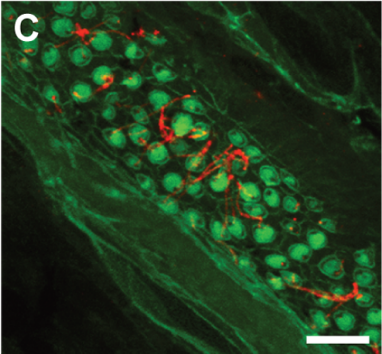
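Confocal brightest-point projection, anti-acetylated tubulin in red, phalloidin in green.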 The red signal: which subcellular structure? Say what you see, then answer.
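Fine red threadlike processes lie over the central strip of green round profiles.
Conclusion: kinocilia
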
